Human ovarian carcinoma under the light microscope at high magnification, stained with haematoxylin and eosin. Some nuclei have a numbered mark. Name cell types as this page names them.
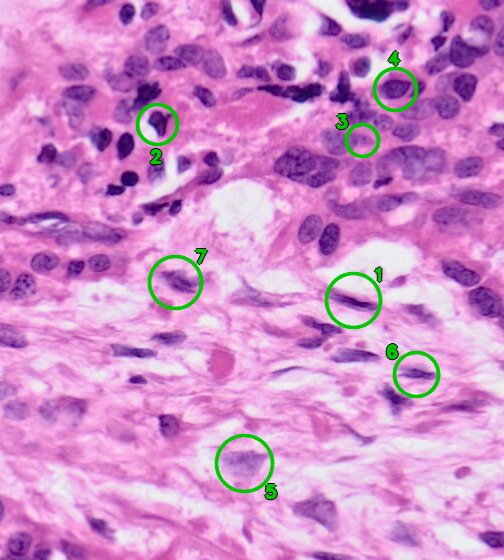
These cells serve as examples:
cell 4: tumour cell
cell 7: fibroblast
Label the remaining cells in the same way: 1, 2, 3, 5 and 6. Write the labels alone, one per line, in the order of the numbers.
fibroblast
tumour cell
tumour cell
fibroblast
fibroblast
